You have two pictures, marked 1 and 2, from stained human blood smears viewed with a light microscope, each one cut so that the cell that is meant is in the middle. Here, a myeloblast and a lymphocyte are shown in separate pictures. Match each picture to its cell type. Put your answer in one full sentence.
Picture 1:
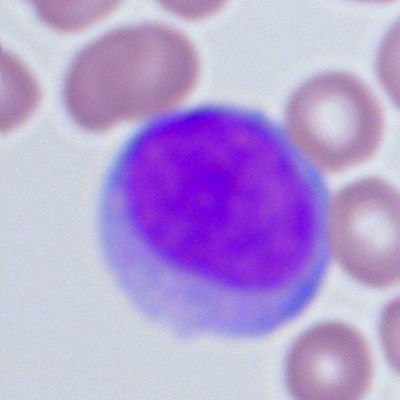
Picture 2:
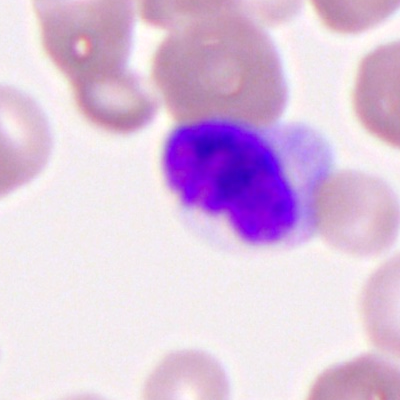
Picture 2 shows a lymphocyte, while picture 1 shows a myeloblast.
